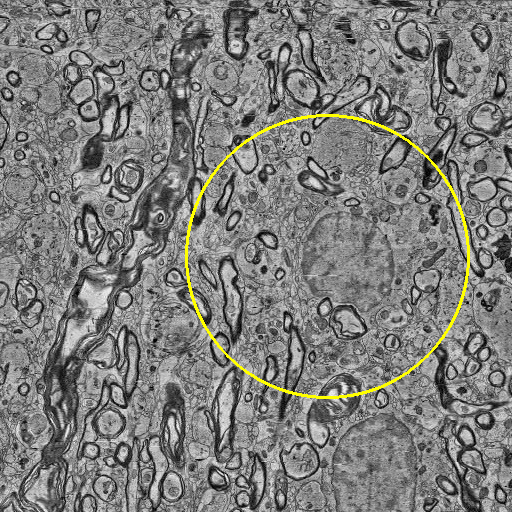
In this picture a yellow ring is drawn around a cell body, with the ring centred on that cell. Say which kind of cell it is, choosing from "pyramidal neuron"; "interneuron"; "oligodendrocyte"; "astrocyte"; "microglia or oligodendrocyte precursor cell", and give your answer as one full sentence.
Here it is an oligodendrocyte that sits at the centre of the drawn yellow ring.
